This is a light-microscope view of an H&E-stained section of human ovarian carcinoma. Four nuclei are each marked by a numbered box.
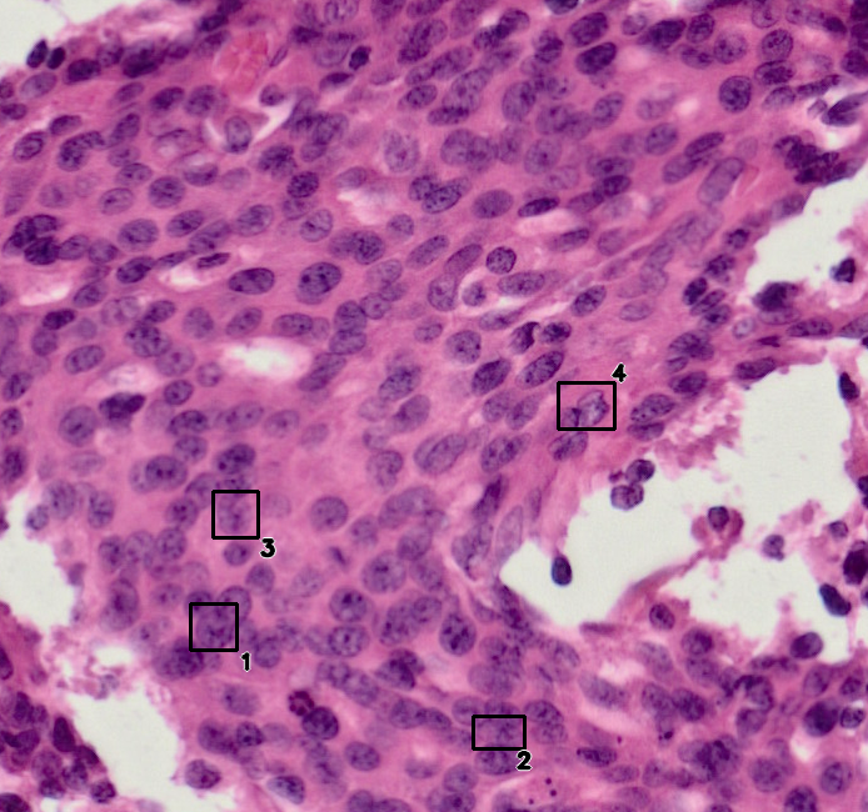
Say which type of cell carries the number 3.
carcinoma cell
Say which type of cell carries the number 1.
carcinoma cell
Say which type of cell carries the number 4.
endothelial cell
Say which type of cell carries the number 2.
carcinoma cell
